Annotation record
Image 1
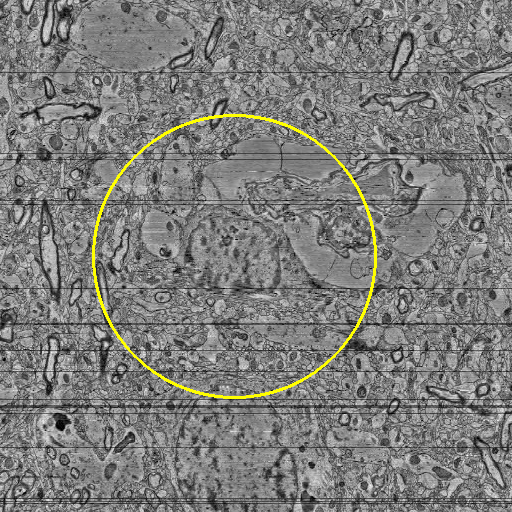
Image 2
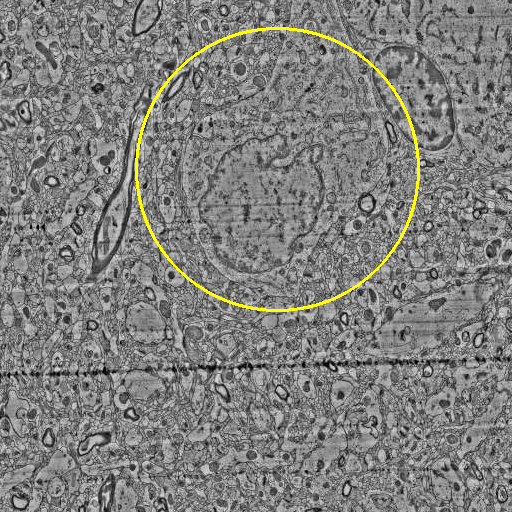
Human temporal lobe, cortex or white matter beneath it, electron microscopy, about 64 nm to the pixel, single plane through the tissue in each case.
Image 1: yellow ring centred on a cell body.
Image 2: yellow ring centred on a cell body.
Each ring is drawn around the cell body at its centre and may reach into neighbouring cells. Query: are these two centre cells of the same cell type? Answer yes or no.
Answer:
no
